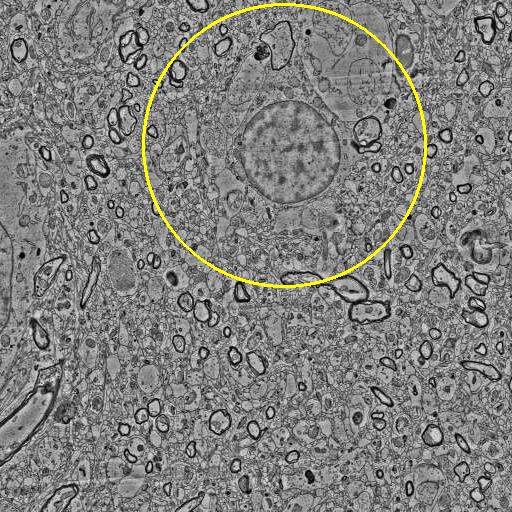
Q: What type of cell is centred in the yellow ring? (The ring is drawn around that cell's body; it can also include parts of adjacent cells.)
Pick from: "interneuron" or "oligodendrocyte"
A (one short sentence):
The yellow ring is centred on an oligodendrocyte.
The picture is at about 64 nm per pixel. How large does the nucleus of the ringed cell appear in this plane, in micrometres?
Roughly 7 micrometres across, measured in this plane.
